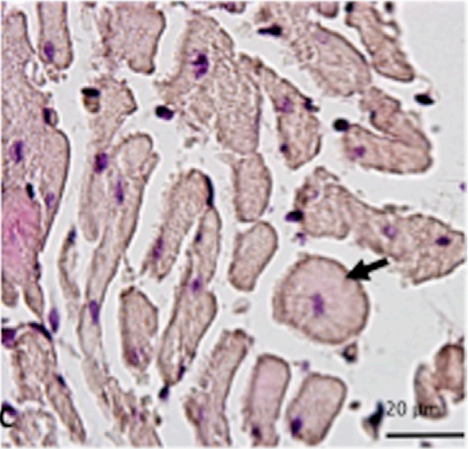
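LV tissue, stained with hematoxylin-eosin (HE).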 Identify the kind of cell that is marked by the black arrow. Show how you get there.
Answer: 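The arrow points to a rounded cross-sectioned fibre with a central purple nucleus. On this evidence: cardiomyocytes.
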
